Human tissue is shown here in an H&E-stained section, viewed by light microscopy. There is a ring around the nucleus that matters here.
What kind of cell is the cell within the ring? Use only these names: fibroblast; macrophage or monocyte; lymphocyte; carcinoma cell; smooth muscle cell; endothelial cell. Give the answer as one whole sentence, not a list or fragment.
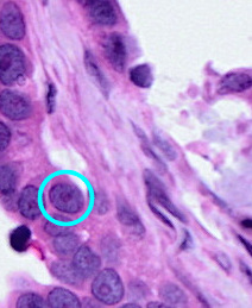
Typologically, the cell within the ring is a carcinoma cell in this section.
